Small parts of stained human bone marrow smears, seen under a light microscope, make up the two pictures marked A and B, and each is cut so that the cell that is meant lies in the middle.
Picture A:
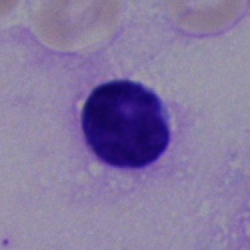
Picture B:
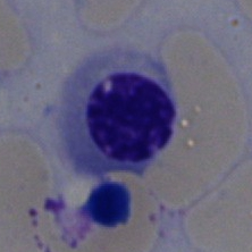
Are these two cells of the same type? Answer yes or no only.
no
